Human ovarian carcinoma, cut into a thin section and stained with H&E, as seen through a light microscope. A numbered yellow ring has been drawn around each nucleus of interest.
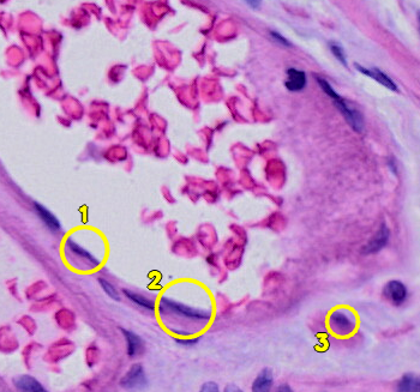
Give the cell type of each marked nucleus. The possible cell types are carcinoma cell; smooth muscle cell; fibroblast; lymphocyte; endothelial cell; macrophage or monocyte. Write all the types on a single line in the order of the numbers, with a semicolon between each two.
endothelial cell; endothelial cell; smooth muscle cell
